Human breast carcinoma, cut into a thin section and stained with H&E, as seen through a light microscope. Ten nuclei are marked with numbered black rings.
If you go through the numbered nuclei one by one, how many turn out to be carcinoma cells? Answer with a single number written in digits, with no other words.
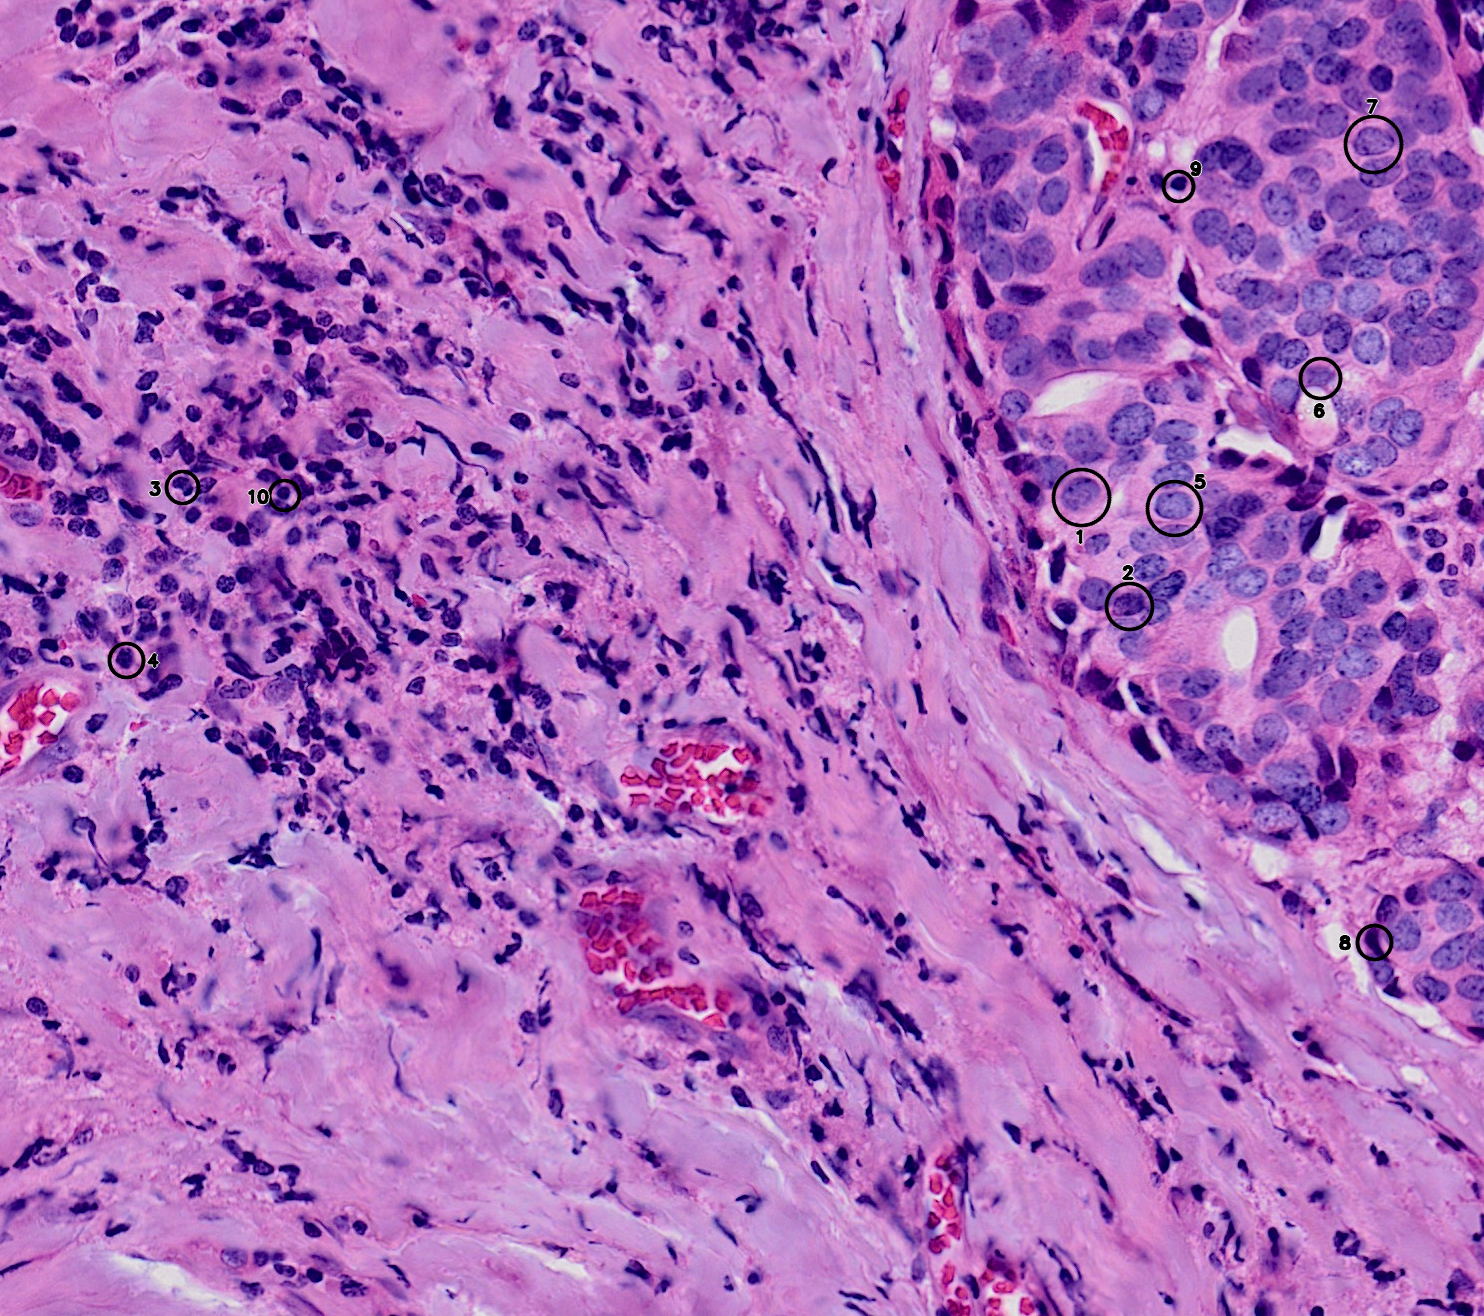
6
